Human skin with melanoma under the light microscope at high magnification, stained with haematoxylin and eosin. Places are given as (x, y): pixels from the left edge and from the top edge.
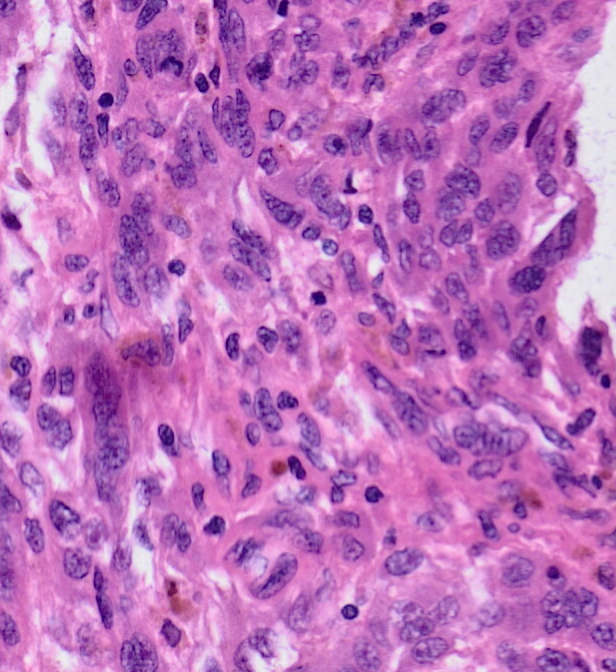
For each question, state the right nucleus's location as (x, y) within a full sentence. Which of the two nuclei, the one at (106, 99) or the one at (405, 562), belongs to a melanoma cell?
Of the pair, the nucleus positioned at (405, 562) is that of a melanoma cell.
